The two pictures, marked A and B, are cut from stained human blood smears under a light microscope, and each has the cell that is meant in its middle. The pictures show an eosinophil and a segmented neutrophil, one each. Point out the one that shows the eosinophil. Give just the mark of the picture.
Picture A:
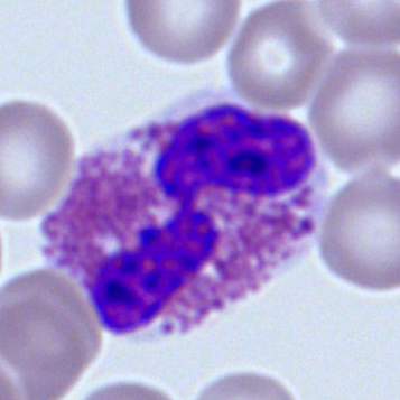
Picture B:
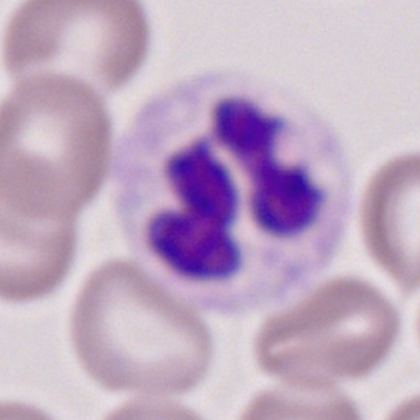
A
